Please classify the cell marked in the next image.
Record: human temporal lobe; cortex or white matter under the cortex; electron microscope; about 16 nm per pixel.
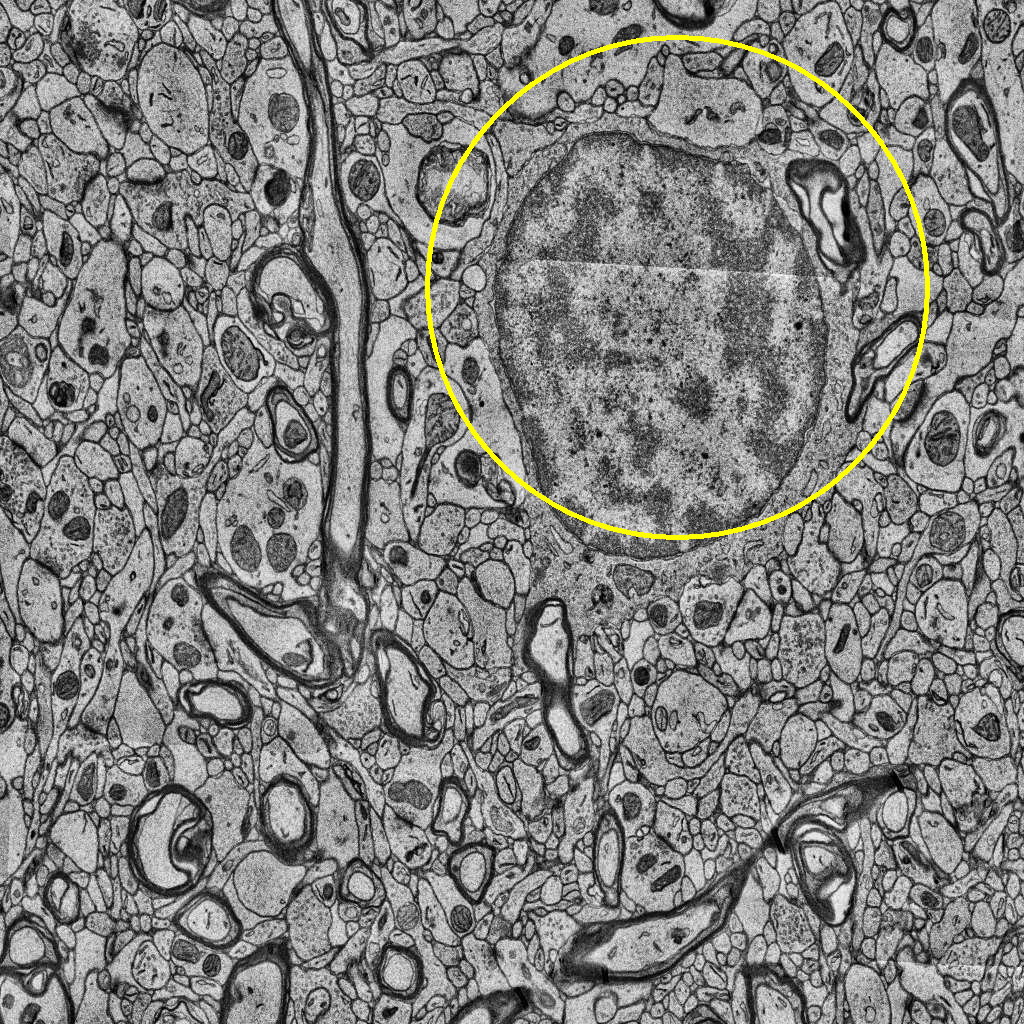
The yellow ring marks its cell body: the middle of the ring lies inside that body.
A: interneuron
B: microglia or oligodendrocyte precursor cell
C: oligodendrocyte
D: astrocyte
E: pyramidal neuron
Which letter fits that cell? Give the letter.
C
